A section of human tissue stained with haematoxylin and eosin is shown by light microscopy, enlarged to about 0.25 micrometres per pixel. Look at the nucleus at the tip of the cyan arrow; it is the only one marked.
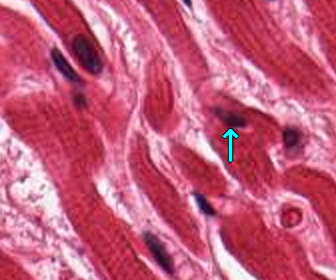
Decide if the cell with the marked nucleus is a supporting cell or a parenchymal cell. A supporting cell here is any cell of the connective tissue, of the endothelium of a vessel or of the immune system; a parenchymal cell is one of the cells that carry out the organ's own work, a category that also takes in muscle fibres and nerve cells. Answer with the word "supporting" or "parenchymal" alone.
parenchymal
